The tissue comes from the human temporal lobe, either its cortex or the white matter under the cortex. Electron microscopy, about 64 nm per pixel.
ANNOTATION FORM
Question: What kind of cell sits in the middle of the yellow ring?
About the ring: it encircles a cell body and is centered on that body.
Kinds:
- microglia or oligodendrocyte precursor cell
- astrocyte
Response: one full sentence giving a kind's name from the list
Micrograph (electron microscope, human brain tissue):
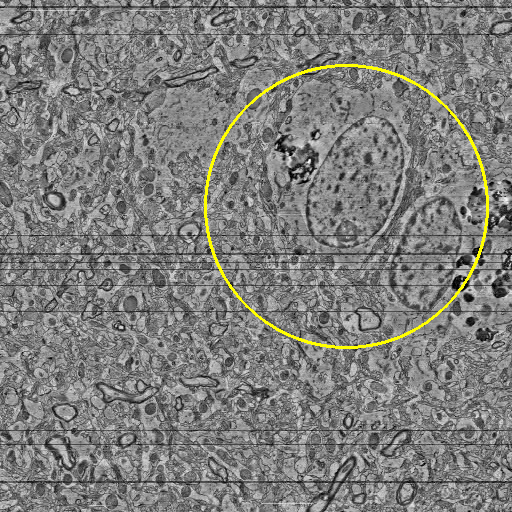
The kind of cell found at the center of the yellow ring in the micrograph is an astrocyte.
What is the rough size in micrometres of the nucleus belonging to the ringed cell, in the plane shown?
About 9 by 5 micrometres in this plane; clearly longer than it is wide.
